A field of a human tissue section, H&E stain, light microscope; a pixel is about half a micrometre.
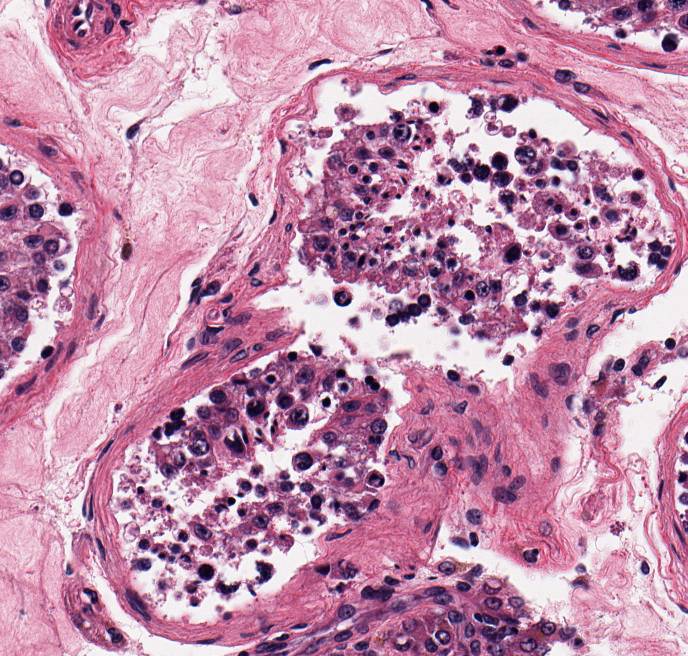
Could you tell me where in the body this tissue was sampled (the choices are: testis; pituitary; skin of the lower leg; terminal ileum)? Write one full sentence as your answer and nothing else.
It was from the testis that this tissue was sampled.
